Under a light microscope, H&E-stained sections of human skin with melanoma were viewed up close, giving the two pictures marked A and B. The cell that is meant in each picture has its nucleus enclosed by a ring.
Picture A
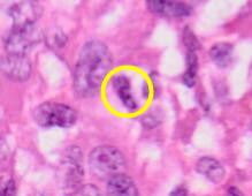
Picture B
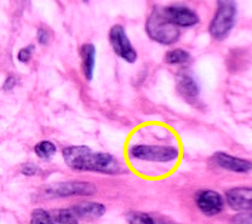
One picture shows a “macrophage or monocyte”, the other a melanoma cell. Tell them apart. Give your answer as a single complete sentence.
Picture A is of a melanoma cell, and picture B is of a “macrophage or monocyte”.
